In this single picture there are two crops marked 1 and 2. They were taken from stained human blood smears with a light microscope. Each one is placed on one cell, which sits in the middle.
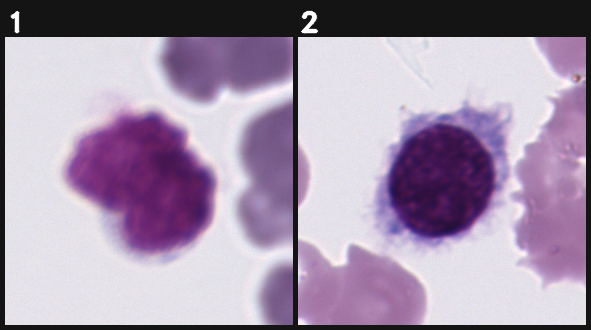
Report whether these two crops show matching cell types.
no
